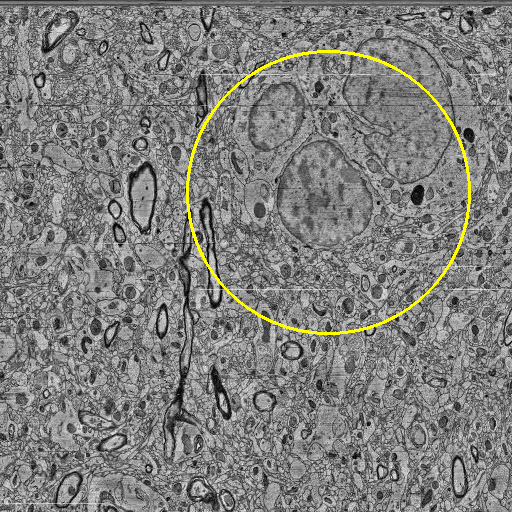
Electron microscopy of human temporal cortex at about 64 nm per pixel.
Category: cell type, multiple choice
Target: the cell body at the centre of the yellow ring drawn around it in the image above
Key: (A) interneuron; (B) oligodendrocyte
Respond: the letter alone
B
